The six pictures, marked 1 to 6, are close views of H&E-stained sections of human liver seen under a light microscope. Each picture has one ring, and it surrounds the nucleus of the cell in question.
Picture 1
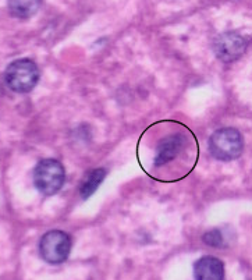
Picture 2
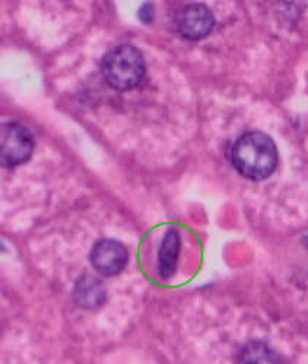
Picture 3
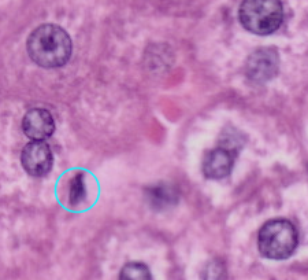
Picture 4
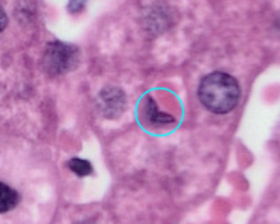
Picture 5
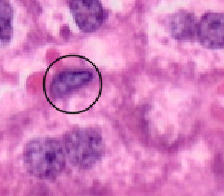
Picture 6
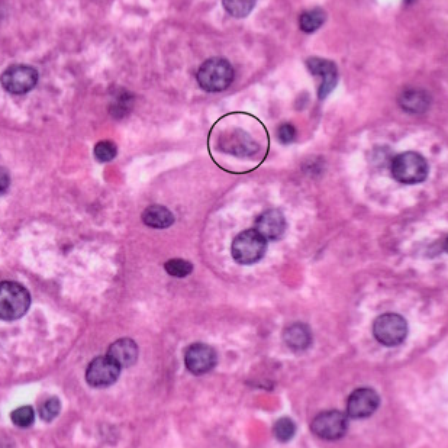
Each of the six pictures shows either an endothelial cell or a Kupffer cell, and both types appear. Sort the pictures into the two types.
1: endothelial cell
2: Kupffer cell
3: endothelial cell
4: endothelial cell
5: Kupffer cell
6: Kupffer cell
